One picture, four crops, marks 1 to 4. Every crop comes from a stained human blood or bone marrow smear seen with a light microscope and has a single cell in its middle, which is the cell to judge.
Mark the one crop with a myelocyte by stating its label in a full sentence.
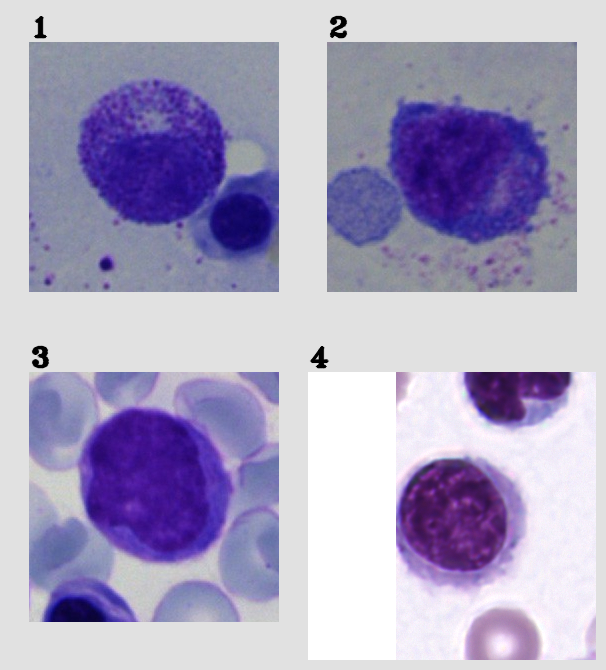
The cell at the center of crop 1 is the one that is a myelocyte.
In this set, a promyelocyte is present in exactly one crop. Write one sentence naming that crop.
It is in crop 2 that a promyelocyte is shown.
